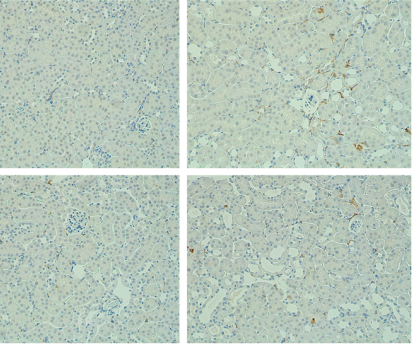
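Four fields of renal cortex with closely packed tubules lined by cuboidal epithelial cells with blue nuclei, and occasional round glomeruli. Scattered brown-stained elements lie in the interstitium between tubules, more evident in the two right-hand fields, where some tubules also appear dilated.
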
